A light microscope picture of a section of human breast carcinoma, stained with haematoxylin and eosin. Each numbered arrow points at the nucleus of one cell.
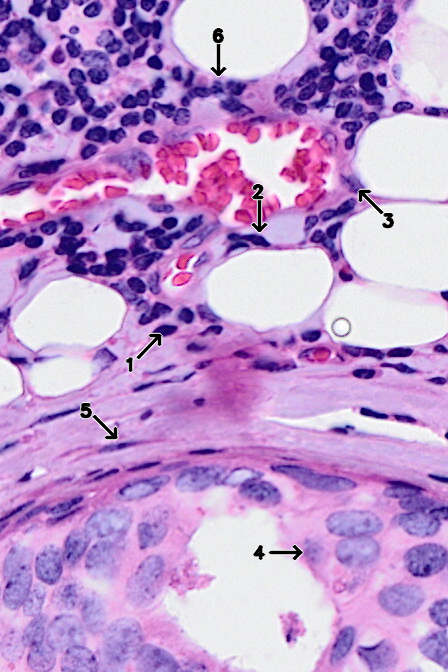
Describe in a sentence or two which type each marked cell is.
Cell 1 is a lymphocyte, cell 2 is a lymphocyte, cell 3 is an endothelial cell, cell 4 is a carcinoma cell, cell 5 is a fibroblast and cell 6 is a lymphocyte.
